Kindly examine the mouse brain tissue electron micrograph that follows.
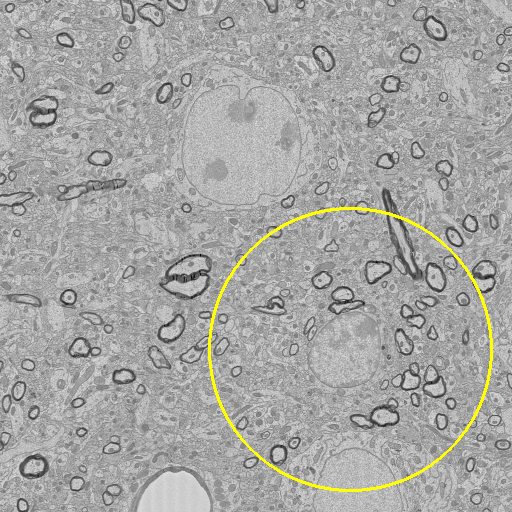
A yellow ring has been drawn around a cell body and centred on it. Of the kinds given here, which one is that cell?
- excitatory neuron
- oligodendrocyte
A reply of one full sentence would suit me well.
The micrograph's ringed cell, the one at the ring's centre, is an oligodendrocyte.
